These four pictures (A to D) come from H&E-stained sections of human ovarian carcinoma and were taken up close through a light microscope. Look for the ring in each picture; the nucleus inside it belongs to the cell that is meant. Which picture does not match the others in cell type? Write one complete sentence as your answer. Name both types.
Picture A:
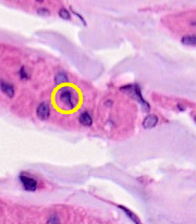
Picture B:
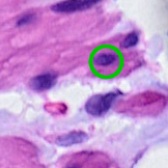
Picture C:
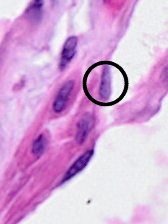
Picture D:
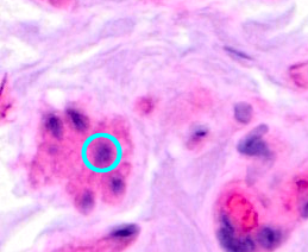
Picture C differs, because its cell is an endothelial cell and the rest are smooth muscle cells.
